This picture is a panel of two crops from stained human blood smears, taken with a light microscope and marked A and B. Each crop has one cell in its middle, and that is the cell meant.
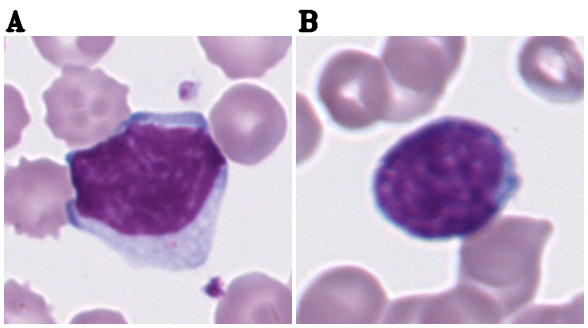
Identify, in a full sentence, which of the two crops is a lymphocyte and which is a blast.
Crop A contains a lymphocyte, and crop B contains a blast.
